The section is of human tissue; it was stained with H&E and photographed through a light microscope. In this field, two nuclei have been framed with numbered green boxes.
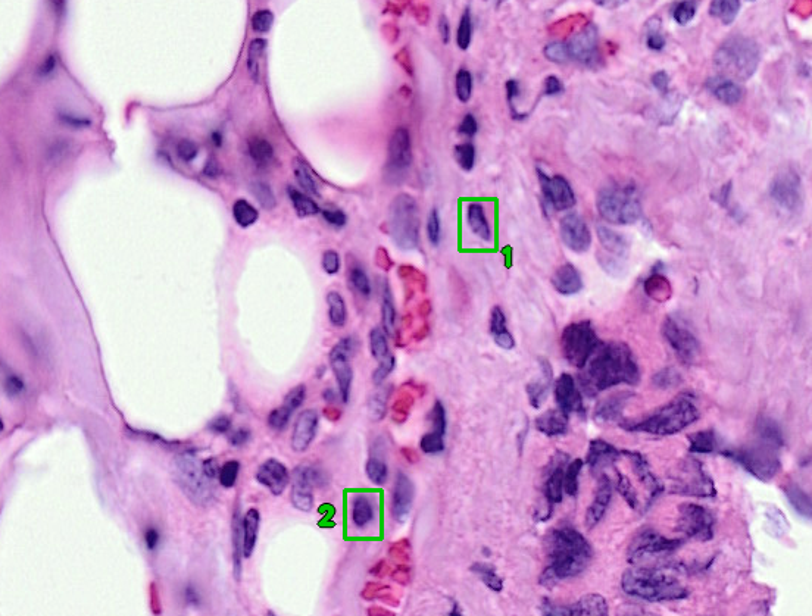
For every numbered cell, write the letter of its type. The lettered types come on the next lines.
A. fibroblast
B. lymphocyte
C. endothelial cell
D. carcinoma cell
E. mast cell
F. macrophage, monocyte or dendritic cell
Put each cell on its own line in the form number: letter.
1: E
2: B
